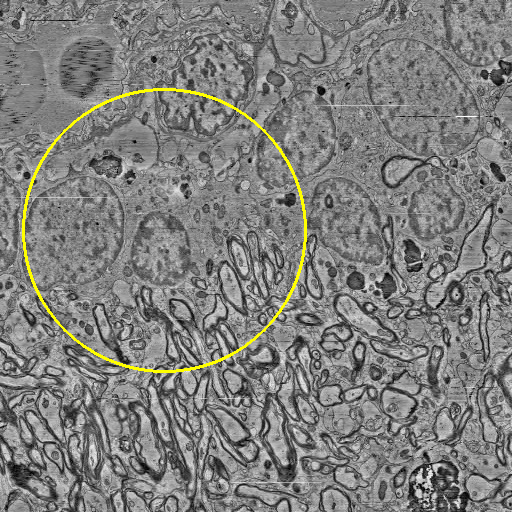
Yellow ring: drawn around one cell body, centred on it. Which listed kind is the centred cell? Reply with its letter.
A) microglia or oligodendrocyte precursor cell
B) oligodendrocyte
B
